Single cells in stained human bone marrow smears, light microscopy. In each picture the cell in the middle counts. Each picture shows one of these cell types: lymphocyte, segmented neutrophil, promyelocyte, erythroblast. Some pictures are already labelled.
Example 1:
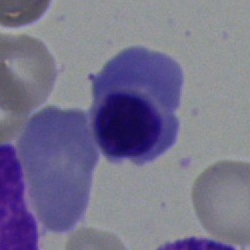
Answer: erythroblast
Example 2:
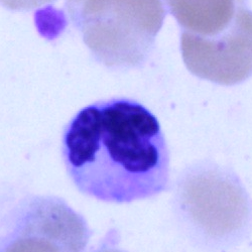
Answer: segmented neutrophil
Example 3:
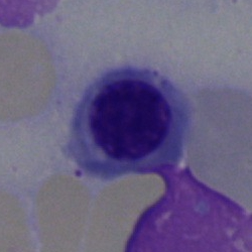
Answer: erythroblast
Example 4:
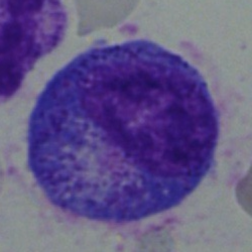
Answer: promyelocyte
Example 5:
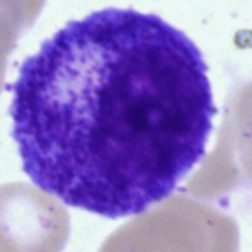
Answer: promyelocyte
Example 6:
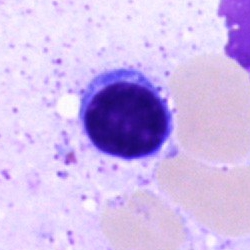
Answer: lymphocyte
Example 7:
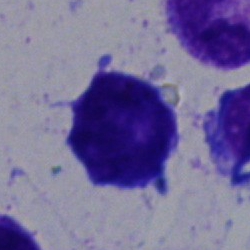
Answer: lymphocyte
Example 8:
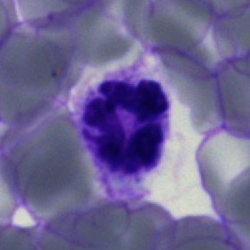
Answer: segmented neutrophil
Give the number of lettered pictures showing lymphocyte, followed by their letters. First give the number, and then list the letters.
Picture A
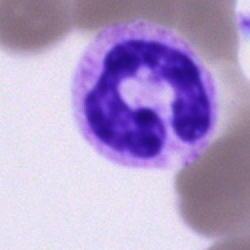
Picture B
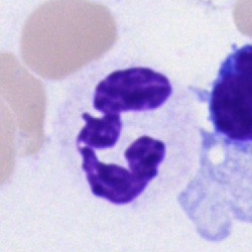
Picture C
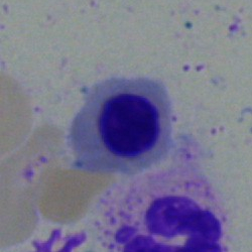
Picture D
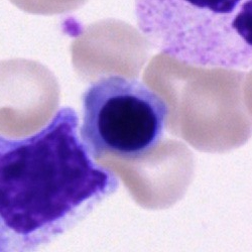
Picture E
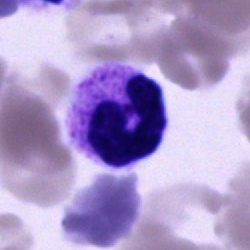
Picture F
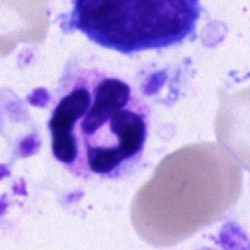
0, none of them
